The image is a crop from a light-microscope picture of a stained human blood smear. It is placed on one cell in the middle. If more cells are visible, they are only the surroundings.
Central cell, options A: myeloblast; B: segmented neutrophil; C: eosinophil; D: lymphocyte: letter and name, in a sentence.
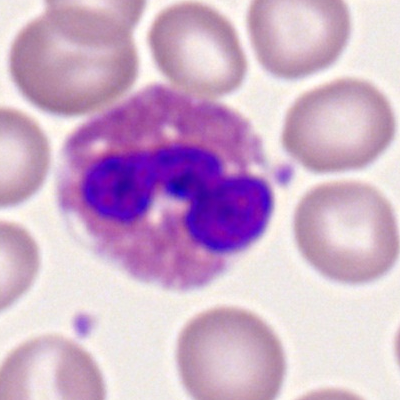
The cell occupying the centre is an eosinophil; option C is thus the correct choice.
